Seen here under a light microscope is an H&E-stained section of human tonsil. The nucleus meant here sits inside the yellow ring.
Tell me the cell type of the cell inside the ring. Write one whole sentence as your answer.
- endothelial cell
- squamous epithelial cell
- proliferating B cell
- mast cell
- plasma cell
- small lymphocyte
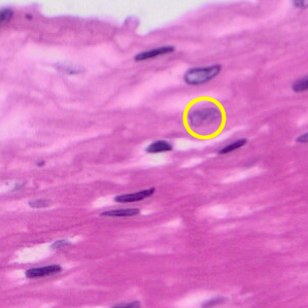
In the stained section, the cell inside the ring is a squamous epithelial cell.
